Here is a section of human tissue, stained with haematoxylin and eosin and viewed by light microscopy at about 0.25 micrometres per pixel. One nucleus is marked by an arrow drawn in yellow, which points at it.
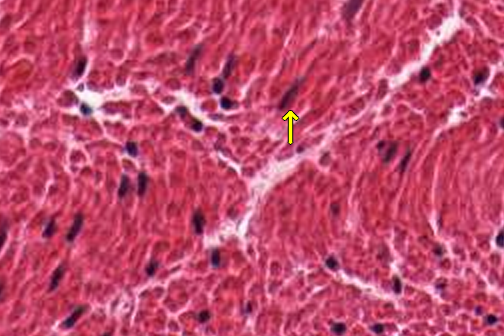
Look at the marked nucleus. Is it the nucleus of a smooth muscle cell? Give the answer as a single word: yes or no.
yes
